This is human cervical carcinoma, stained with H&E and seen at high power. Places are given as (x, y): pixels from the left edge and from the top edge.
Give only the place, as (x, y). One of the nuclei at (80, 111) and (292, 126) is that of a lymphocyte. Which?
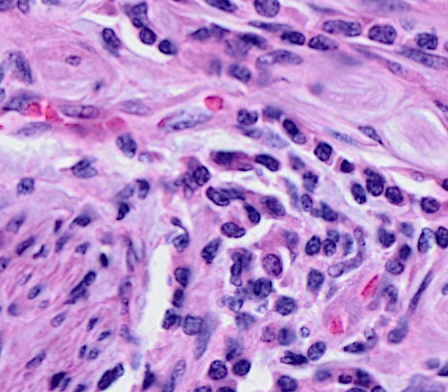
(292, 126)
